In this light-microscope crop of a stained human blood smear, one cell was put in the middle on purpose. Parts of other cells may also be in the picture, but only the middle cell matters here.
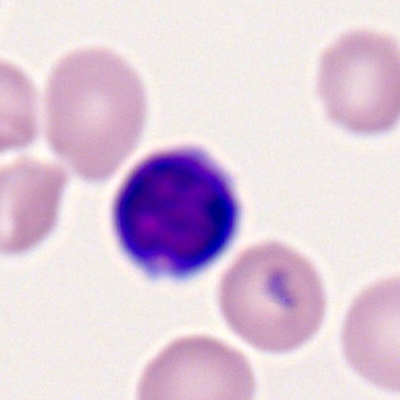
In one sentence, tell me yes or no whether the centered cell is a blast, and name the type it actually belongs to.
No, the central cell is not a blast; it is a lymphocyte.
